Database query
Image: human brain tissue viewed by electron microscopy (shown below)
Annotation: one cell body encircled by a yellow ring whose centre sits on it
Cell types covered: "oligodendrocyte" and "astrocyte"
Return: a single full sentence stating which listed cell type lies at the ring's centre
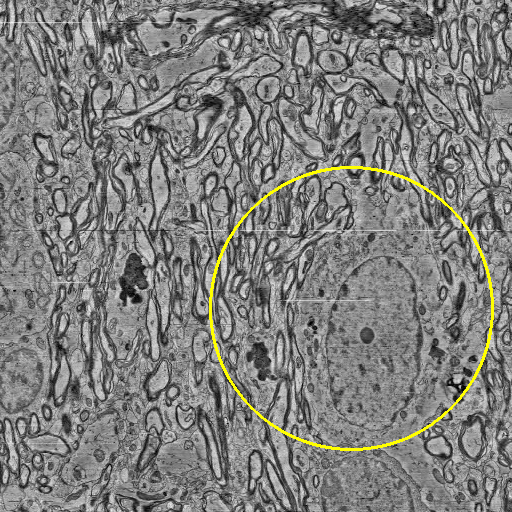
In the image, the cell lying at the ring's centre is an astrocyte.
